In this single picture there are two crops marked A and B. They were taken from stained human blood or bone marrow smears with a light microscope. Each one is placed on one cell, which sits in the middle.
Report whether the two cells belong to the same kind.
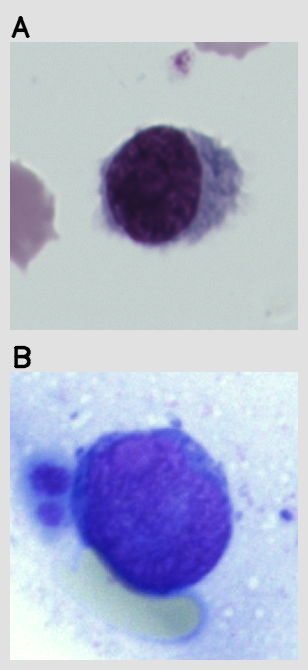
no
